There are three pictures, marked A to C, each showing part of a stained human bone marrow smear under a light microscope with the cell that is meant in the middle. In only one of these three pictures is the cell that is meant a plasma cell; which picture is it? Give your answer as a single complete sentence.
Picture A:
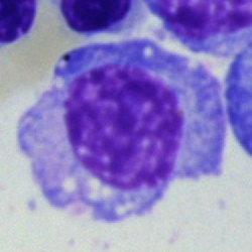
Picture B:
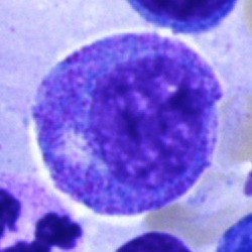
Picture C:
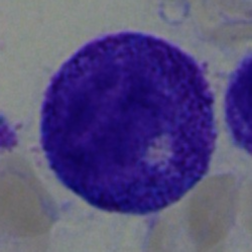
Picture A is the one that shows the plasma cell.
